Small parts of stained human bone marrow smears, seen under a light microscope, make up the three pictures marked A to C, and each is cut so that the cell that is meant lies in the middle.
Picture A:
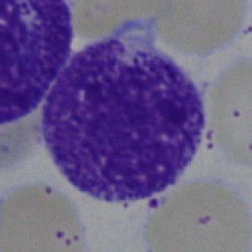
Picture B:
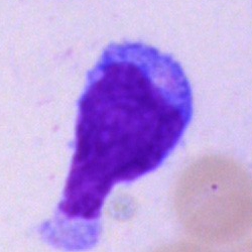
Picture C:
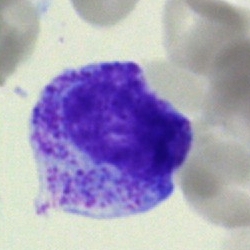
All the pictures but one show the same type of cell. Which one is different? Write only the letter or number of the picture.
B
